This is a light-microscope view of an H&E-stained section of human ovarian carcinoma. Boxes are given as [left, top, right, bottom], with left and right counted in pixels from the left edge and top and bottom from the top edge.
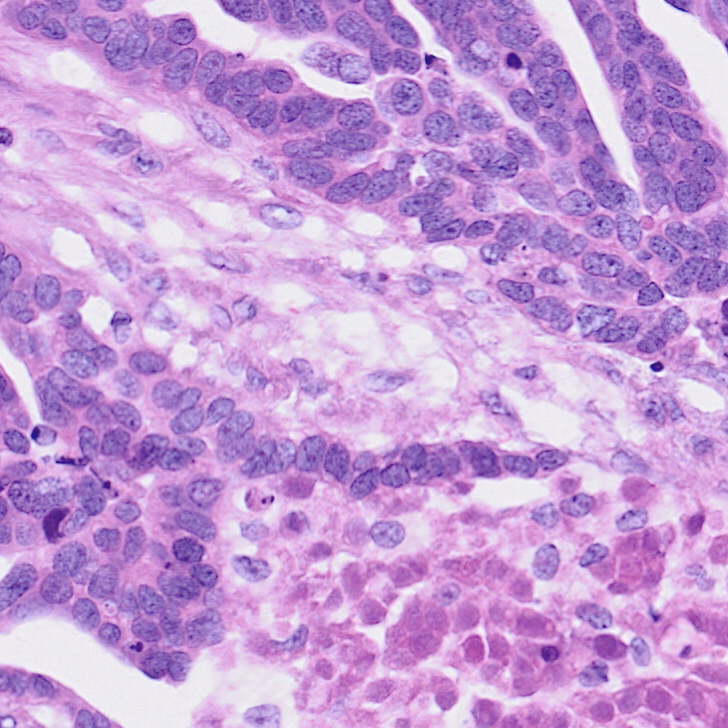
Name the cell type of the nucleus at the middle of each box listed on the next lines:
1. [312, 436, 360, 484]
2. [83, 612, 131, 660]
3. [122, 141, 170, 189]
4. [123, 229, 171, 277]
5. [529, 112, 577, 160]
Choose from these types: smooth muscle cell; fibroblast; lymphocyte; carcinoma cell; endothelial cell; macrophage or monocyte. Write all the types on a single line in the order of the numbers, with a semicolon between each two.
carcinoma cell; carcinoma cell; fibroblast; fibroblast; carcinoma cell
